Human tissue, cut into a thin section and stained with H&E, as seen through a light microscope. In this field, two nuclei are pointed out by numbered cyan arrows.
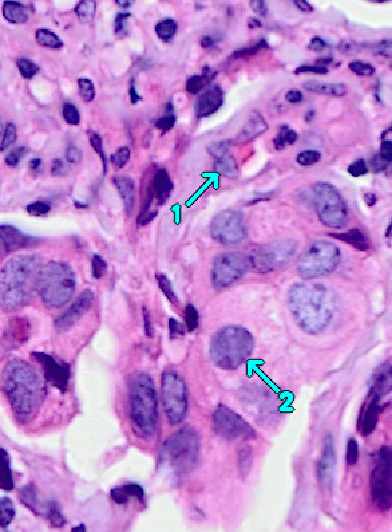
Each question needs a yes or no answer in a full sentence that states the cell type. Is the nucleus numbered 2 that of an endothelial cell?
No, the cell referred to as 2 is a carcinoma cell, not an endothelial cell.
